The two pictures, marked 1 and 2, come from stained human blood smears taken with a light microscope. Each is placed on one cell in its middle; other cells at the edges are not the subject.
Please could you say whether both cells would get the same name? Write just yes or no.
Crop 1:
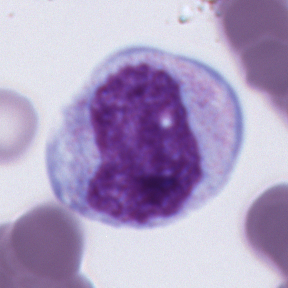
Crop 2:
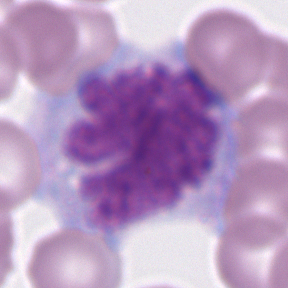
no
